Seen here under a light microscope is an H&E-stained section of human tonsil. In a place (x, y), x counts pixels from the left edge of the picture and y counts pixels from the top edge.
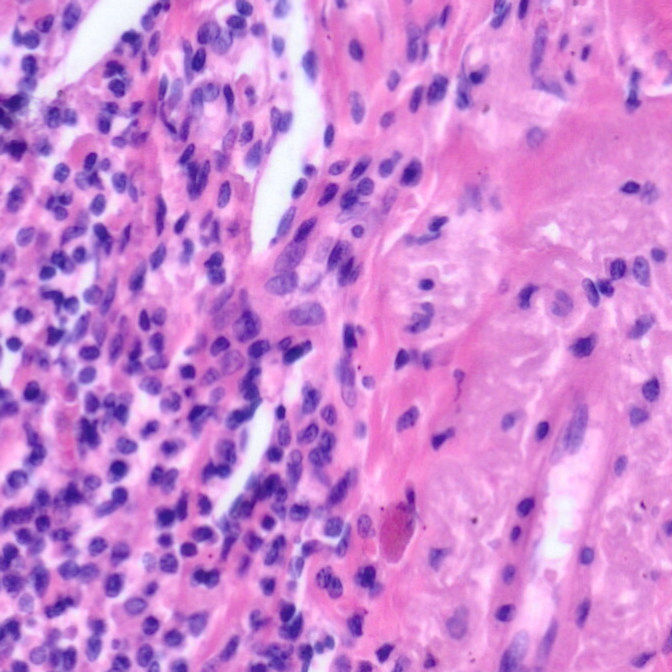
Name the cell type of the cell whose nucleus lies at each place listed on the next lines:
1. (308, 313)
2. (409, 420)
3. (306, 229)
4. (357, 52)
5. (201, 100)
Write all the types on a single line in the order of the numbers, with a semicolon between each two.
endothelial cell; mast cell; endothelial cell; mast cell; endothelial cell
